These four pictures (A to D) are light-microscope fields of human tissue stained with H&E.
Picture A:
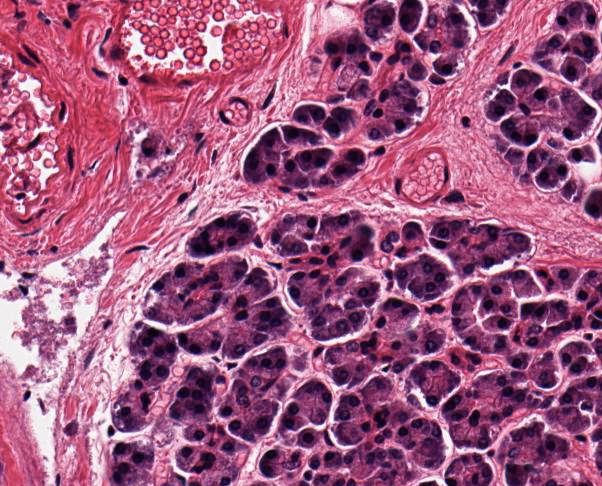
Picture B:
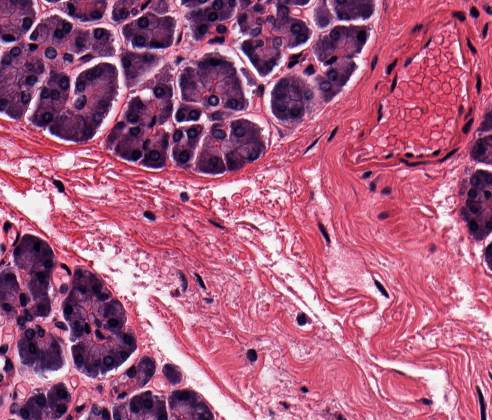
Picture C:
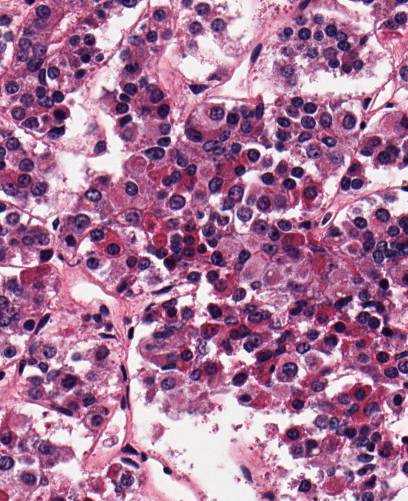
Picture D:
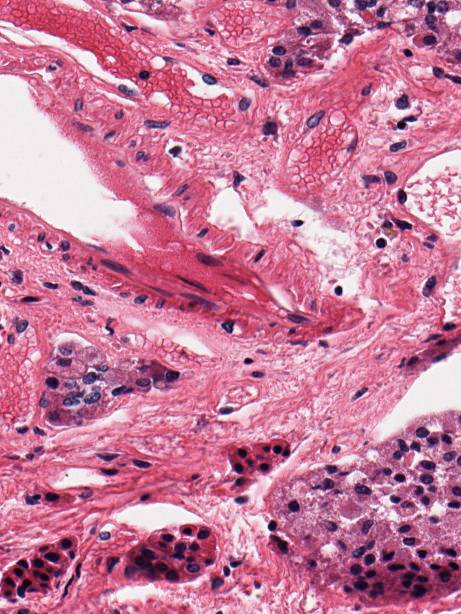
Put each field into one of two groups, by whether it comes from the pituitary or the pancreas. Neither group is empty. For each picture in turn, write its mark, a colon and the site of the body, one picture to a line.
A: pancreas
B: pancreas
C: pituitary
D: pituitary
